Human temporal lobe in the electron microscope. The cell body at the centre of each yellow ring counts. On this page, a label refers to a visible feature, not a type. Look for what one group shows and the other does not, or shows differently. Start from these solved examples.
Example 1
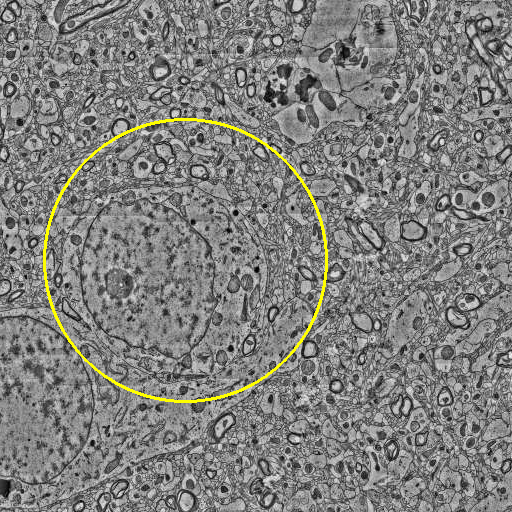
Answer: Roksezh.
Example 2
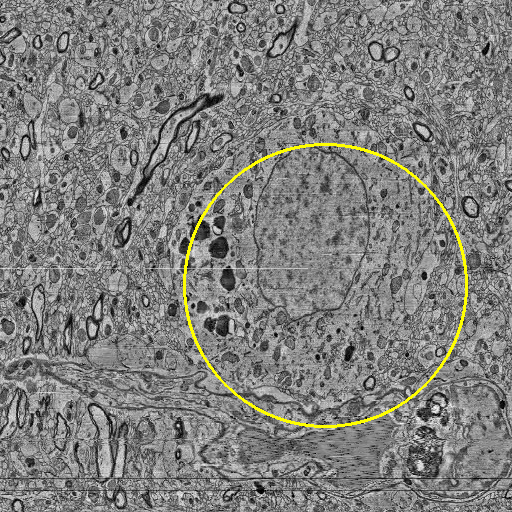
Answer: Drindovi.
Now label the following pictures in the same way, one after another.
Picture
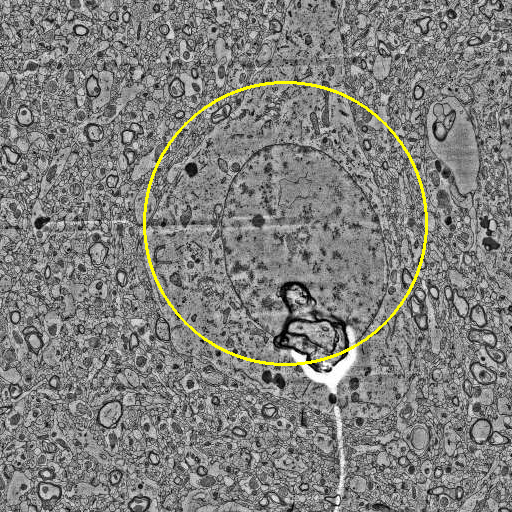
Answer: Roksezh.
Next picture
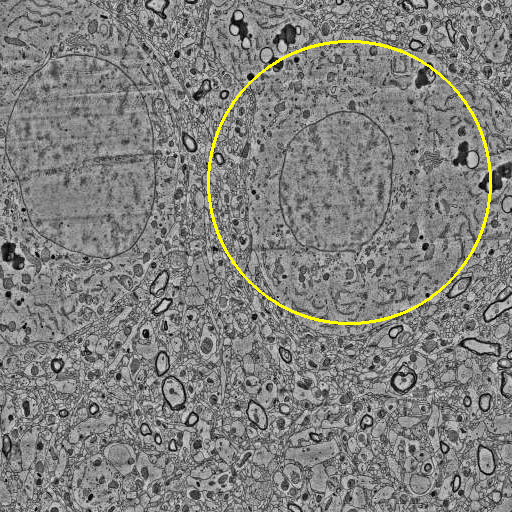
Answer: Drindovi.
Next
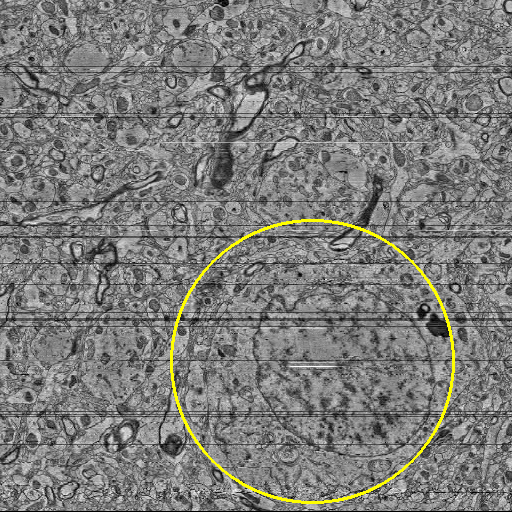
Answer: Drindovi.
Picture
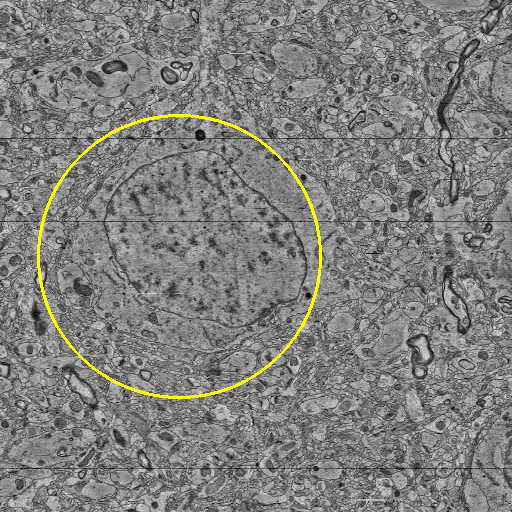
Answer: Drindovi.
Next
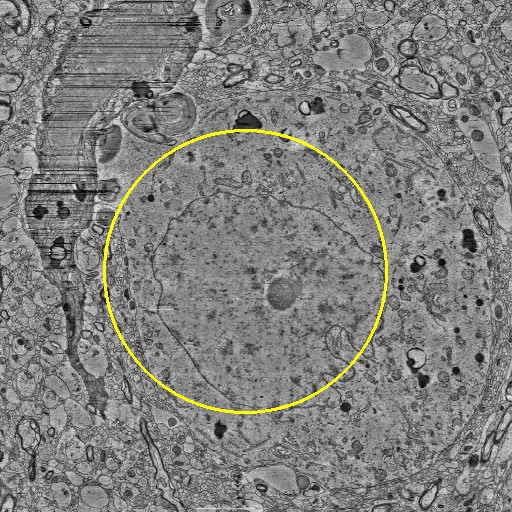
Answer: Roksezh.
